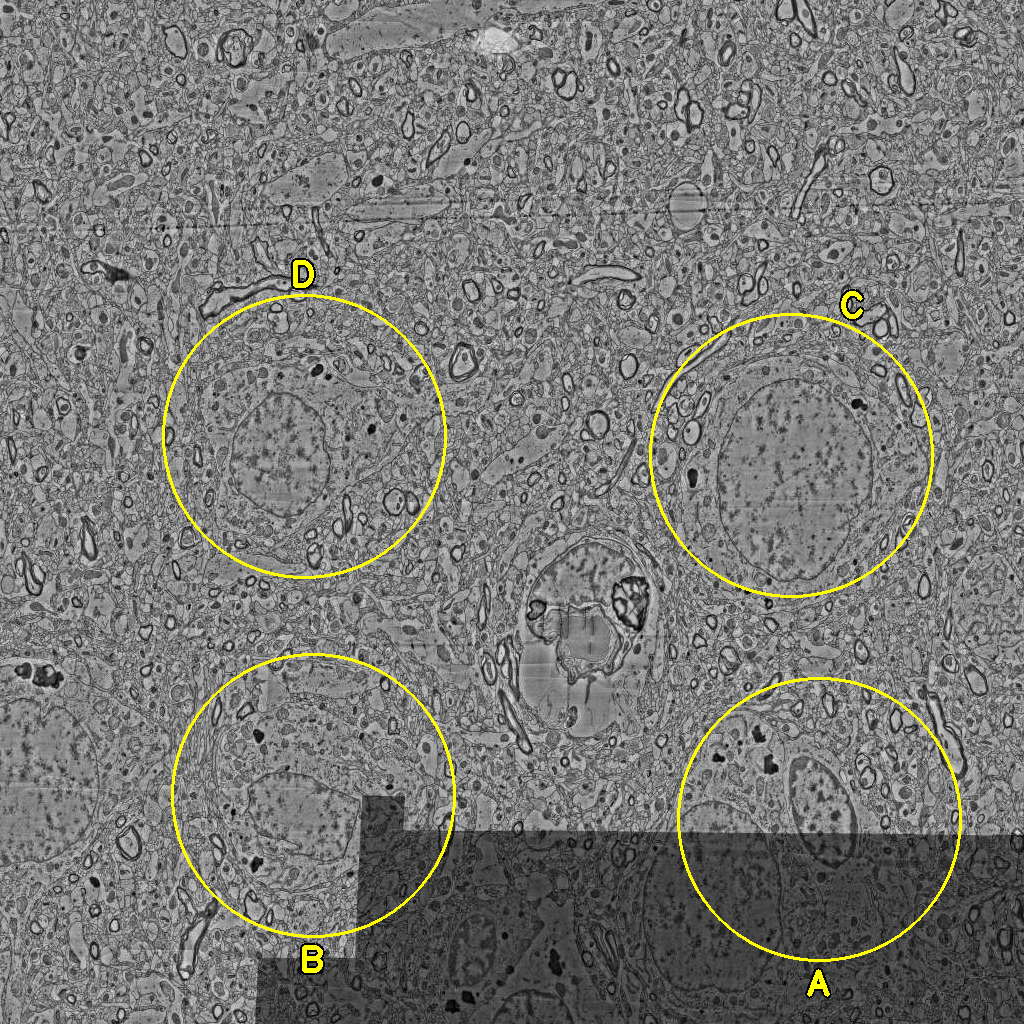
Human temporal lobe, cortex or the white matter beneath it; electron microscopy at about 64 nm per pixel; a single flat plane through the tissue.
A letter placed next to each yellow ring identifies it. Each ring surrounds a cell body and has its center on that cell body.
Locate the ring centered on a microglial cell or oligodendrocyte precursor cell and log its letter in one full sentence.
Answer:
Ring A has at its center the cell that the task asks for.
